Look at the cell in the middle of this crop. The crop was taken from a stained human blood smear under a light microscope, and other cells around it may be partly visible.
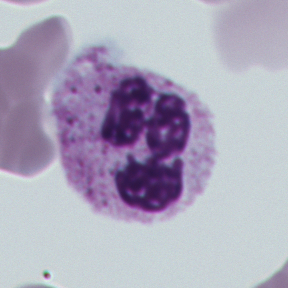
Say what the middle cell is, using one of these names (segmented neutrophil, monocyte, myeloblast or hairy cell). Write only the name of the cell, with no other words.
segmented neutrophil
